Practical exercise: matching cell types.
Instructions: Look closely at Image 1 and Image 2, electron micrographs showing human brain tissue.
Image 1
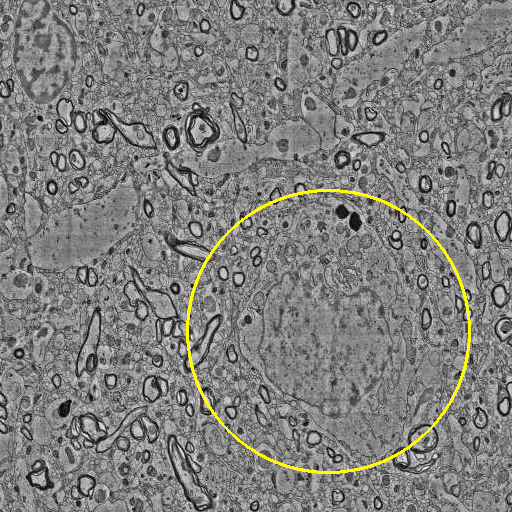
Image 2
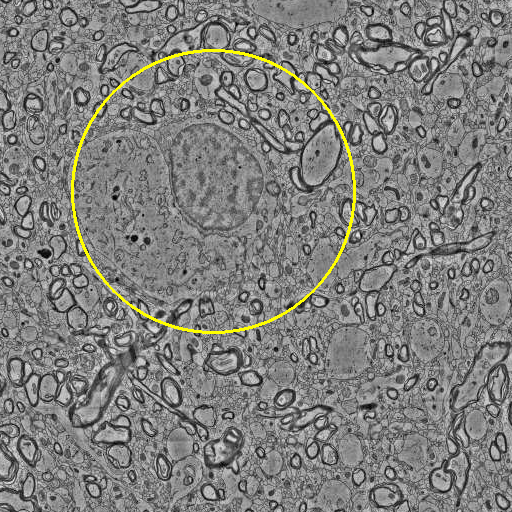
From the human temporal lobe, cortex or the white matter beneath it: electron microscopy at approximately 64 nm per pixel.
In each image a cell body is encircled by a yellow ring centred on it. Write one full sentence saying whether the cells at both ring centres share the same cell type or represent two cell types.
Across Image 1 and Image 2, the cells at the ring centres represent two cell types.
